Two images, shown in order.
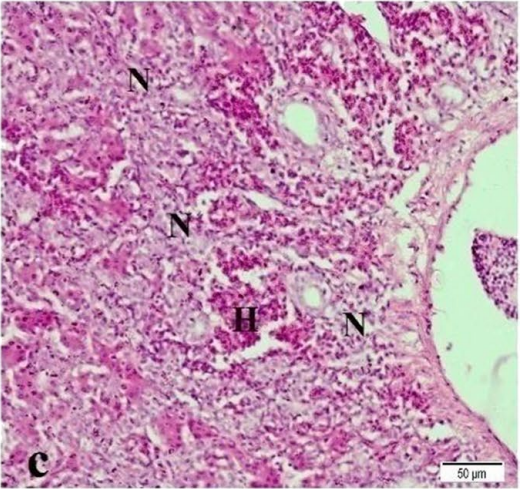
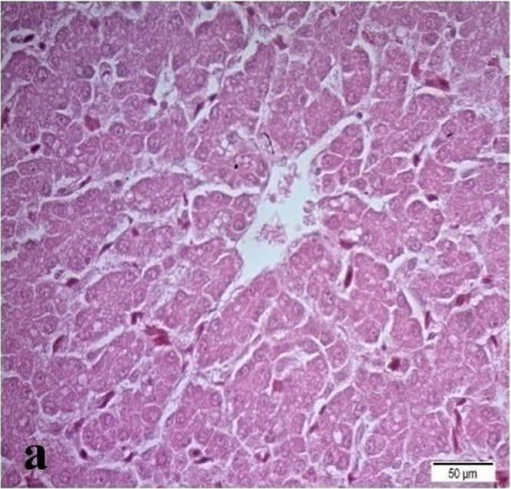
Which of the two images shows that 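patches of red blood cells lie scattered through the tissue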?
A: the first image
